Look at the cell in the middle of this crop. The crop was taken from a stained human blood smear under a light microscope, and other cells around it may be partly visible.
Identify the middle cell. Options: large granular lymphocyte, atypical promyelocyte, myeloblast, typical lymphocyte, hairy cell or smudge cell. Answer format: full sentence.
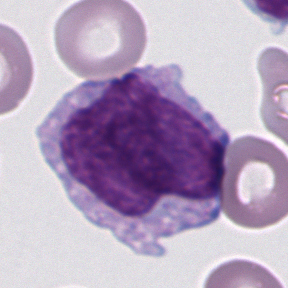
Within this crop, an atypical promyelocyte occupies the central position.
